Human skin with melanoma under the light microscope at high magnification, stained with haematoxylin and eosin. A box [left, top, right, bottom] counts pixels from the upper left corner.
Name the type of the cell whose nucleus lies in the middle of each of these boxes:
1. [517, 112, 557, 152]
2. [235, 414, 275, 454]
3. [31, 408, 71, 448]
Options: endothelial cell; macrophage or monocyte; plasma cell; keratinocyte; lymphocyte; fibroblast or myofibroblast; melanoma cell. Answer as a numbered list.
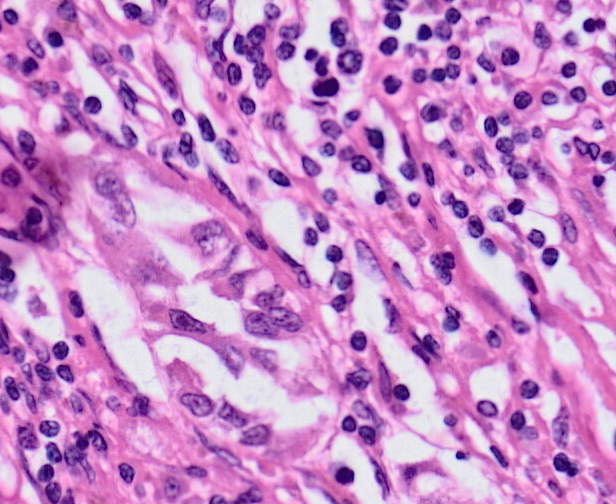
1. lymphocyte
2. melanoma cell
3. lymphocyte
